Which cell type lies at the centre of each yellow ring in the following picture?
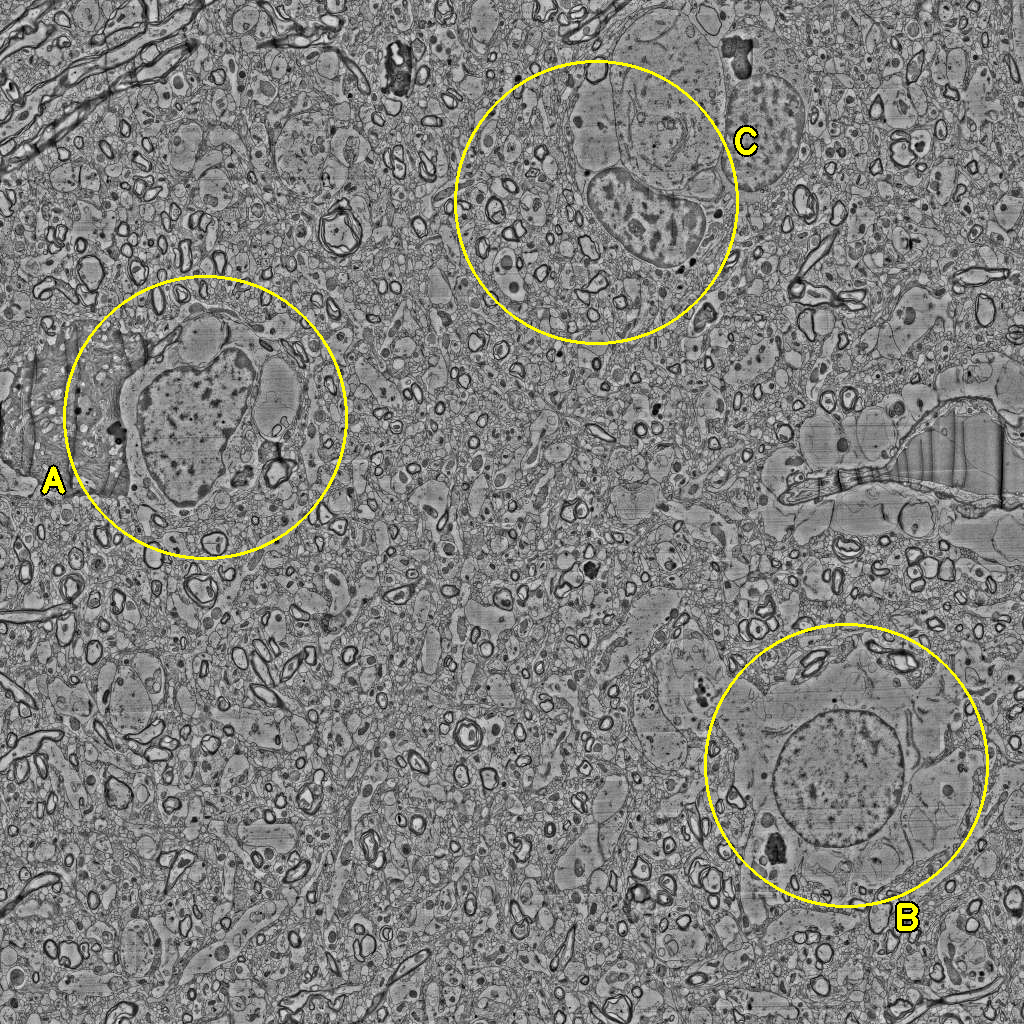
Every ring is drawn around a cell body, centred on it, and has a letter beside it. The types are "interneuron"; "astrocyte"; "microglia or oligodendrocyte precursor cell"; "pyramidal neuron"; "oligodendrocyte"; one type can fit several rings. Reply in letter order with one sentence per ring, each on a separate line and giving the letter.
Ring A marks the cell body of a microglial cell or oligodendrocyte precursor cell.
Ring B marks the cell body of an astrocyte.
Ring C marks the cell body of a microglial cell or oligodendrocyte precursor cell.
